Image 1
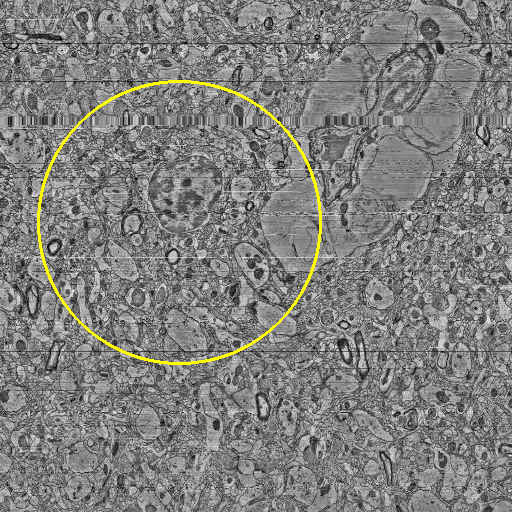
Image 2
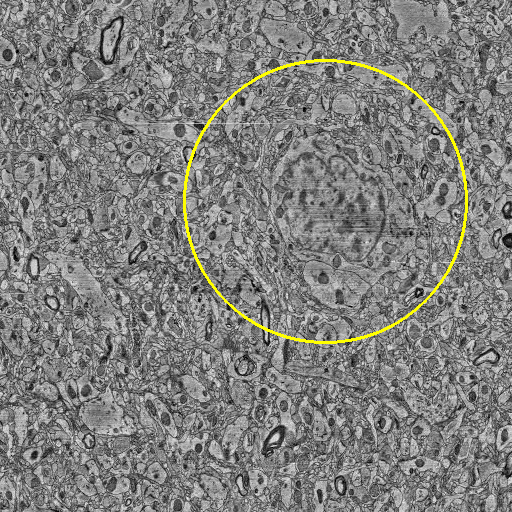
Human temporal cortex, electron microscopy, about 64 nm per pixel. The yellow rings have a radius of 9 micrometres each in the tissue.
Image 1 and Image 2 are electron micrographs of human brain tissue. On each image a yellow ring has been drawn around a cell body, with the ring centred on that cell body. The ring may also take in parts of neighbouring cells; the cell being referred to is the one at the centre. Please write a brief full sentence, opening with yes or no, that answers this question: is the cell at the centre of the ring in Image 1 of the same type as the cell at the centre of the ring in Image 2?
No, the two cells are of two types.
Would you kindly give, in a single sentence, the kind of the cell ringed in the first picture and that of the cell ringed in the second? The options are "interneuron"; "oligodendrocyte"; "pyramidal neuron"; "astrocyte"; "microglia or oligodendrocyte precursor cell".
The second cell is an interneuron, and the first cell is a microglial cell or oligodendrocyte precursor cell.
